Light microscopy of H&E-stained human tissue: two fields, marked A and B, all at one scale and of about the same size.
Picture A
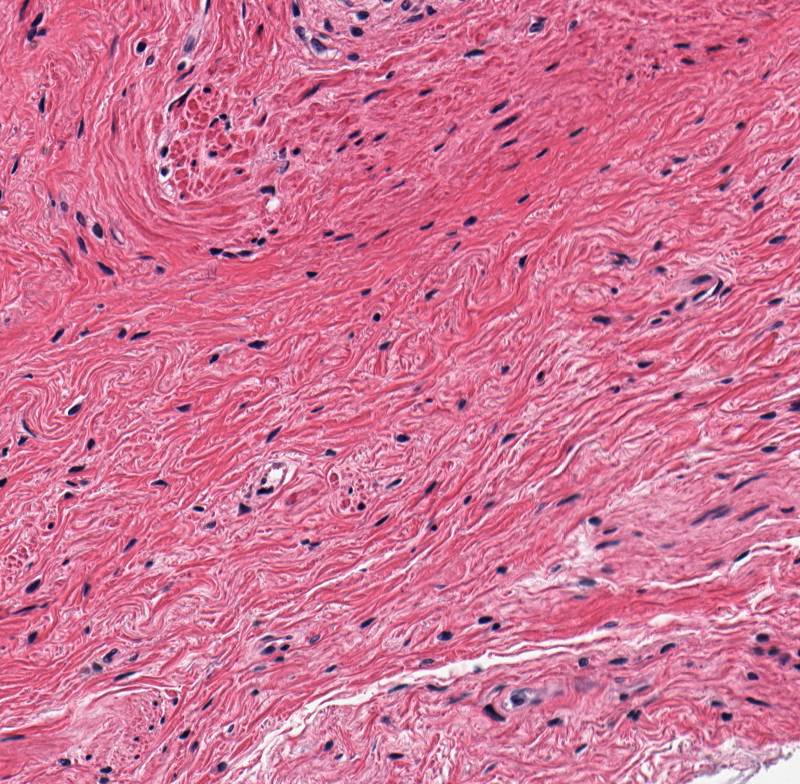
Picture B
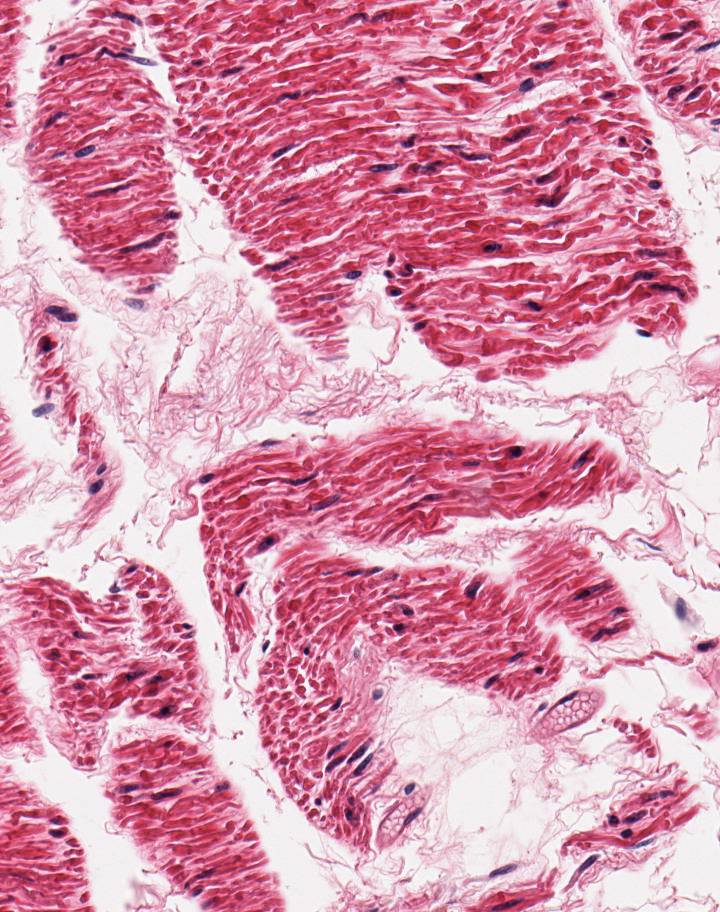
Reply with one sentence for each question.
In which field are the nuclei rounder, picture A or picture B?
Rounder nuclei lie in picture A.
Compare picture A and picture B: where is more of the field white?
More of picture B is empty and white.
